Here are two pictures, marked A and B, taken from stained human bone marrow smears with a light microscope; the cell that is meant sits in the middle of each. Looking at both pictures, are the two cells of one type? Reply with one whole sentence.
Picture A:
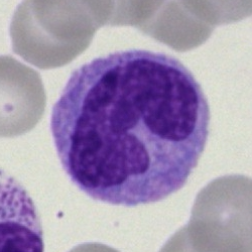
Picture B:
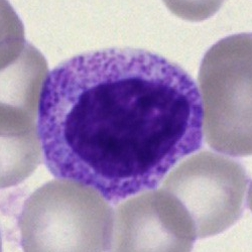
No. Picture A shows a monocyte, but picture B shows a myelocyte.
